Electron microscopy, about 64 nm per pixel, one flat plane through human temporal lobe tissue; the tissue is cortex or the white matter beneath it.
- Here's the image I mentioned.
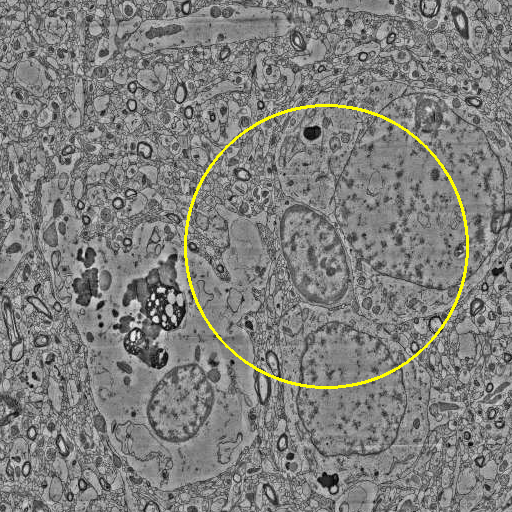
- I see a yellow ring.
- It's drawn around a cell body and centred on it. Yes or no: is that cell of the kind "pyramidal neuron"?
no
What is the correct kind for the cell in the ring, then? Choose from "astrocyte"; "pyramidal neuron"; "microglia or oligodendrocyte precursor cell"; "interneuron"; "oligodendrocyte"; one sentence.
That cell in the ring is an oligodendrocyte instead.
